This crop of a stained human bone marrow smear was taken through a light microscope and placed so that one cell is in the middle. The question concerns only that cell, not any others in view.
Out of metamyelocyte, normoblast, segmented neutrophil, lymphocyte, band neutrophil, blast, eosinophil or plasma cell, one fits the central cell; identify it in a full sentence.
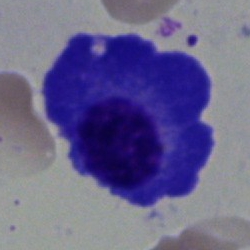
Regarding the central cell, it is a plasma cell.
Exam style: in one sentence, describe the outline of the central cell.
No smooth contour is present; the border is ragged or extended into projections.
